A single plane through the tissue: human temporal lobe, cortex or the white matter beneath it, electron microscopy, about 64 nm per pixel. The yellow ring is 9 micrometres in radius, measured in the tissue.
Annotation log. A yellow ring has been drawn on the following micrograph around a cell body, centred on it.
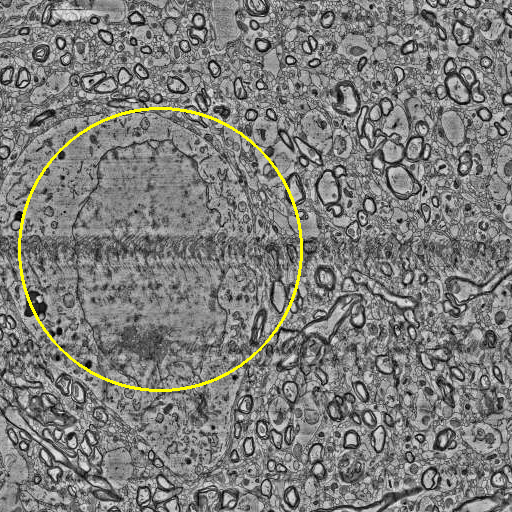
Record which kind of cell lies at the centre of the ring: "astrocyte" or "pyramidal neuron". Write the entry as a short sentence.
The cell the ring is centred on is a pyramidal neuron.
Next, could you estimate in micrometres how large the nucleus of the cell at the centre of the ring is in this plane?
In this plane the nucleus measures about 15 by 10 micrometres and is clearly longer than it is wide.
